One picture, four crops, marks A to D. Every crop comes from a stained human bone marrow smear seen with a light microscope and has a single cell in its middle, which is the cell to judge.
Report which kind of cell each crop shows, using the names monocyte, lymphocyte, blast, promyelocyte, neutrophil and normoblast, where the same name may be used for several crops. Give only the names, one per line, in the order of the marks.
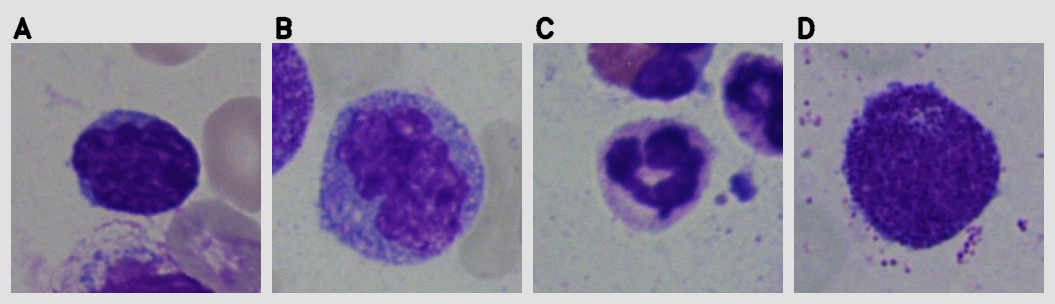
blast
monocyte
neutrophil
promyelocyte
